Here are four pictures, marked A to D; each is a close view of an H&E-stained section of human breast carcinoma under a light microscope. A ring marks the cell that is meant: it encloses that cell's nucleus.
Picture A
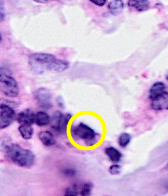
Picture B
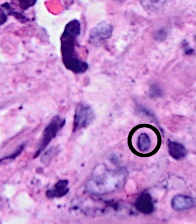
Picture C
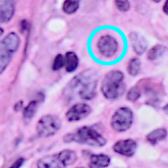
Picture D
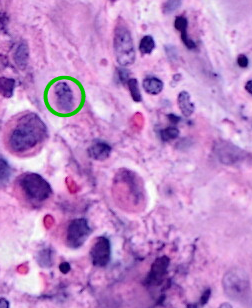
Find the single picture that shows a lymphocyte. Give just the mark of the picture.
A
